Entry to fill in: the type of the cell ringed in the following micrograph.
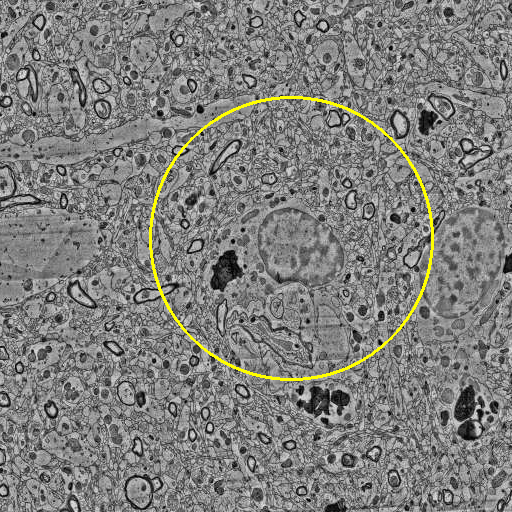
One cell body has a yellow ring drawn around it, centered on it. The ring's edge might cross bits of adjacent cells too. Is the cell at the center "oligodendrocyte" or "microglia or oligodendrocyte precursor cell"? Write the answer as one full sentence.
This entry names an oligodendrocyte as the cell whose body lies at the ring's center.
